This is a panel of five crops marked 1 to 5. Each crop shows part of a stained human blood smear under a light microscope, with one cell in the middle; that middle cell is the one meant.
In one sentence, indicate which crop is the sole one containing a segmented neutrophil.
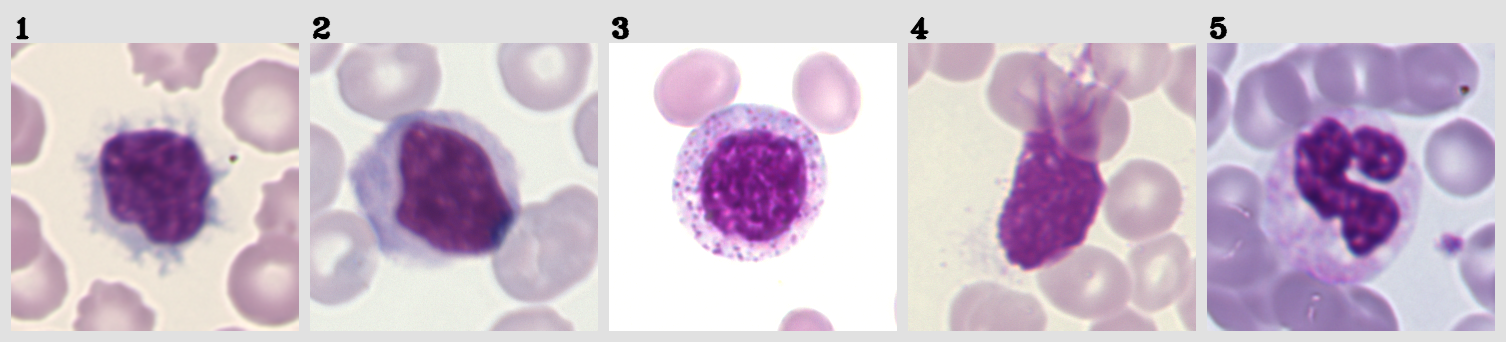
So the crop with a segmented neutrophil at its center is crop 5.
